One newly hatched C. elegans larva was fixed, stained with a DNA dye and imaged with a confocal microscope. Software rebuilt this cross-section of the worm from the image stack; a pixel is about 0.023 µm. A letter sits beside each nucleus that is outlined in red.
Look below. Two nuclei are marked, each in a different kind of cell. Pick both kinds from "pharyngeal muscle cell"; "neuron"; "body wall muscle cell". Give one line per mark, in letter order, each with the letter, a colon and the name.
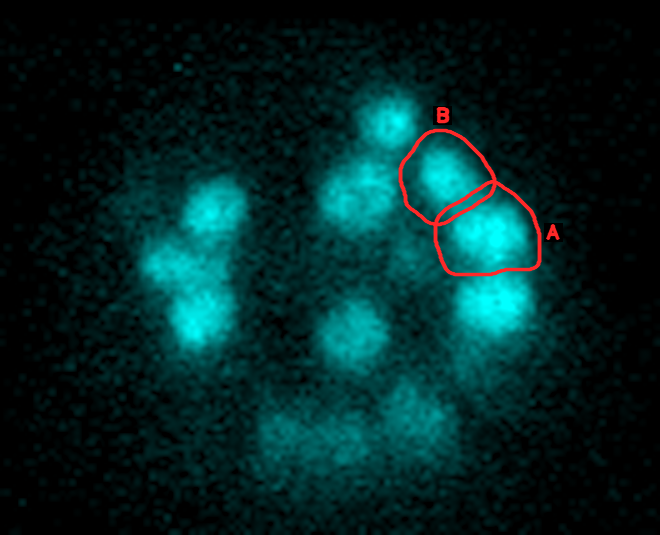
A: neuron
B: body wall muscle cell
